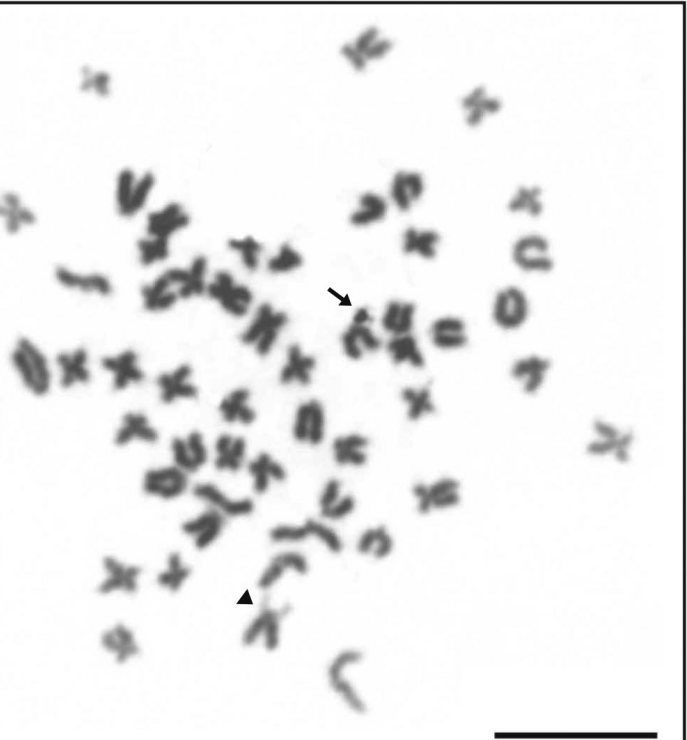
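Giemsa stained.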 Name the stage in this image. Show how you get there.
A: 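Separate, condensed chromosomes are spread across the field with no nuclear outline. Many chromosomes show two sister chromatids joined at a constriction, giving X or V shapes. On this evidence: metaphase.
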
